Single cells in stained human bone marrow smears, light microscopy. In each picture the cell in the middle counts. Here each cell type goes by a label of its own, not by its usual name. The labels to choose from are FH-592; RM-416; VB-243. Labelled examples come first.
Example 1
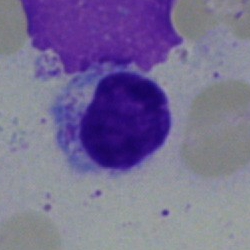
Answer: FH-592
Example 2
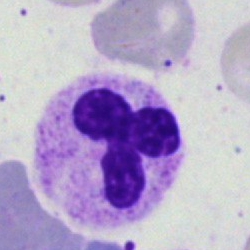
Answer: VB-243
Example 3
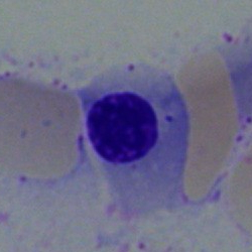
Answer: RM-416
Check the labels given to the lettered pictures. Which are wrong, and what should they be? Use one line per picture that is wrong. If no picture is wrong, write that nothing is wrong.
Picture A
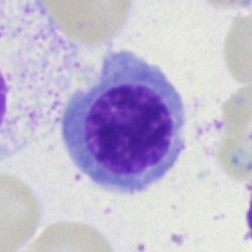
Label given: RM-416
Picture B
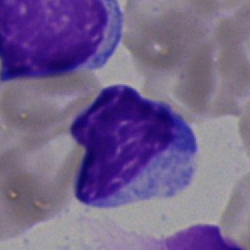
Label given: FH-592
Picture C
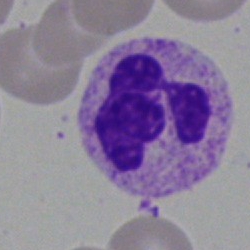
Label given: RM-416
C: change RM-416 to VB-243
